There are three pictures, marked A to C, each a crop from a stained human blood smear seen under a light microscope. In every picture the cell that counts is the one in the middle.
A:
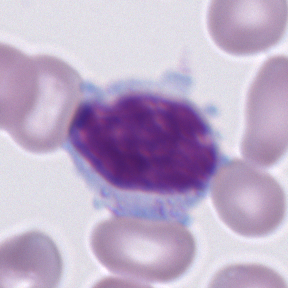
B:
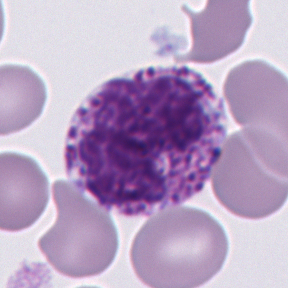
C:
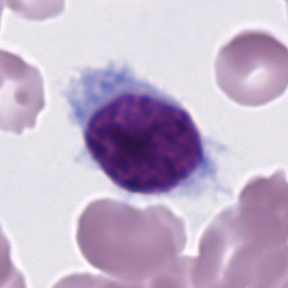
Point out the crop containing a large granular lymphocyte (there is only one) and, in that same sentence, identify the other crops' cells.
Crop A is showing a large granular lymphocyte, while crop B is a basophil and crop C is a hairy cell.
